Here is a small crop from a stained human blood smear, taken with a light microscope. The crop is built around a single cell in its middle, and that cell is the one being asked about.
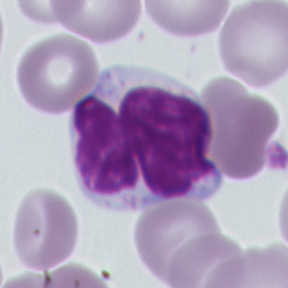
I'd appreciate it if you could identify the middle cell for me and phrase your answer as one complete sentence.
By classification, the middle cell of this crop is a large granular lymphocyte.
